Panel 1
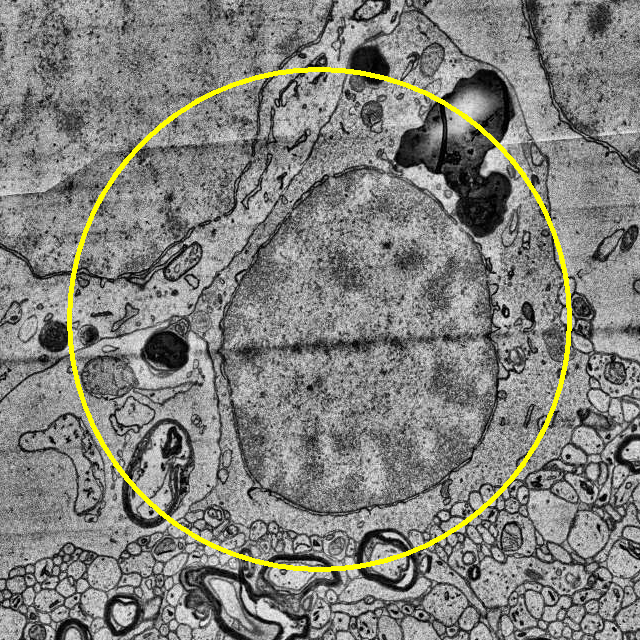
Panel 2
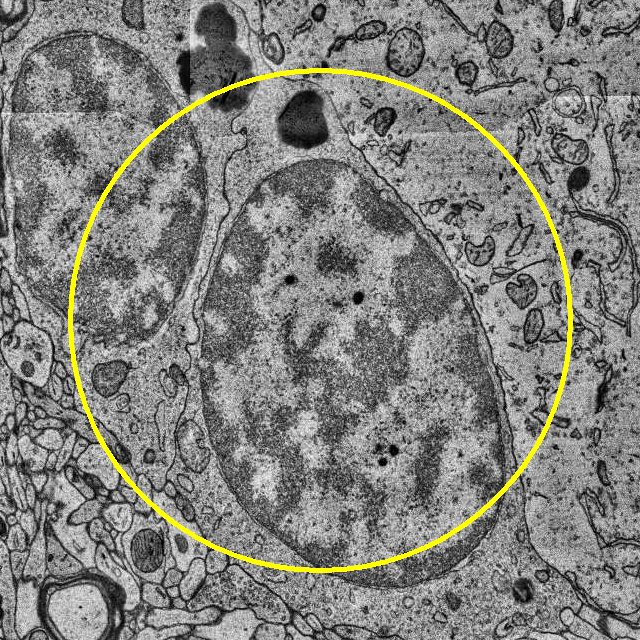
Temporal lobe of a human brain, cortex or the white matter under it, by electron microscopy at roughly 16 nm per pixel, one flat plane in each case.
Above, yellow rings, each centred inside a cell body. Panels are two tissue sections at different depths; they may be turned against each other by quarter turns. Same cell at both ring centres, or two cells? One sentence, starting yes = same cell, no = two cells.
No, two distinct cells are each enclosed by a yellow ring.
